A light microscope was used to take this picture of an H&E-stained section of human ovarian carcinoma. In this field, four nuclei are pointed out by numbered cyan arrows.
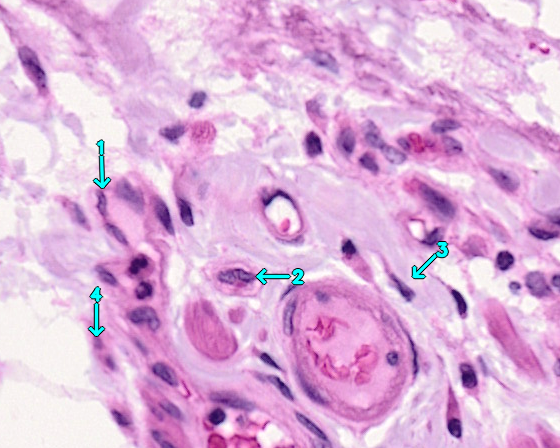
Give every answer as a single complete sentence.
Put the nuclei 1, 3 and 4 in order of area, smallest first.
The order from the smallest nucleus to the largest is 4, 1, 3.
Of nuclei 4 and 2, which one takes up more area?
Nucleus 2 covers more area, about 3 times as much as nucleus 4.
